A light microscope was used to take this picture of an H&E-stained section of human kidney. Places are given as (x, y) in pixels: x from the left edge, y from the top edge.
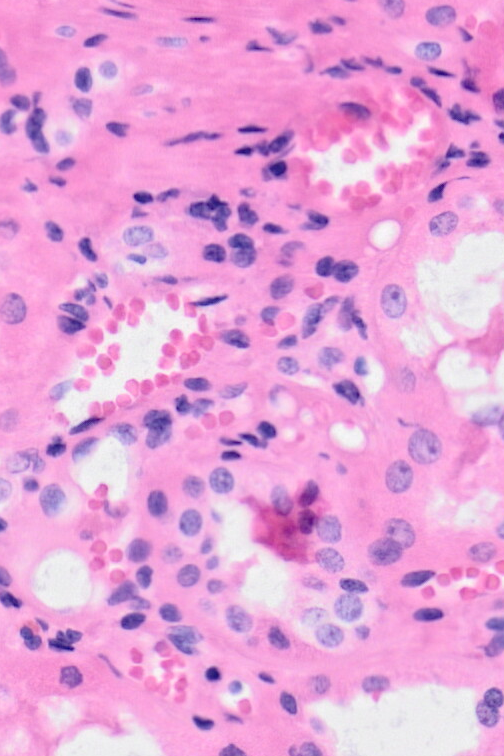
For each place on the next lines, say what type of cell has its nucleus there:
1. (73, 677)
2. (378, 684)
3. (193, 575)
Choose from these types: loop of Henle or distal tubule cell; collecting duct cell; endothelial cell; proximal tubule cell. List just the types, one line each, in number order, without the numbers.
proximal tubule cell
loop of Henle or distal tubule cell
collecting duct cell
